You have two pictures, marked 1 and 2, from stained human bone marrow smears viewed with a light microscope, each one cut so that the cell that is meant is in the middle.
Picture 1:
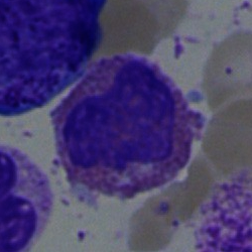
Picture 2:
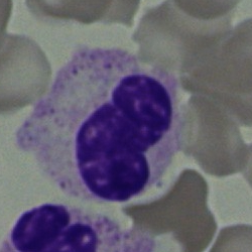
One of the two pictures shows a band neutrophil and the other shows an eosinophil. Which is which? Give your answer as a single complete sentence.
Picture 2 shows a band neutrophil, while picture 1 shows an eosinophil.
